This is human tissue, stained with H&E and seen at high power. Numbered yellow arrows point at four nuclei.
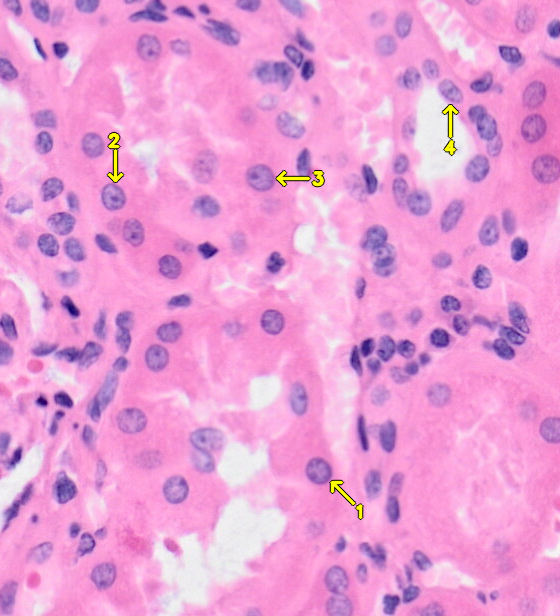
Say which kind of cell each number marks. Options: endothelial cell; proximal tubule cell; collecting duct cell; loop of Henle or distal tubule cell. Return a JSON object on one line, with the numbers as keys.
{"1": "proximal tubule cell", "2": "proximal tubule cell", "3": "proximal tubule cell", "4": "collecting duct cell"}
